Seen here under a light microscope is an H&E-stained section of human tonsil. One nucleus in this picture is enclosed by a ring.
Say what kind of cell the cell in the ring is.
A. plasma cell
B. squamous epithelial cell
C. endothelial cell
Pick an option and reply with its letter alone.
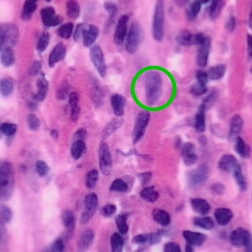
C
